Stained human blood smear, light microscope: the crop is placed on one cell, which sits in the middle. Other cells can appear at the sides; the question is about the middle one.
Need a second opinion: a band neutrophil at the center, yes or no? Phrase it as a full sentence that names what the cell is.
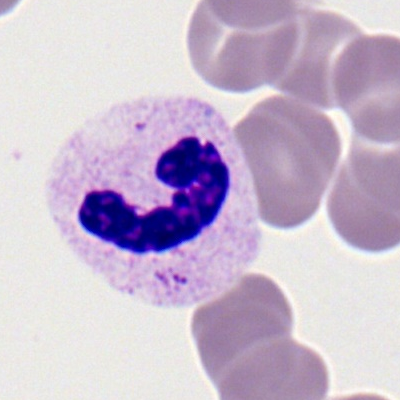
Yes, the cell at the middle is a band neutrophil.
